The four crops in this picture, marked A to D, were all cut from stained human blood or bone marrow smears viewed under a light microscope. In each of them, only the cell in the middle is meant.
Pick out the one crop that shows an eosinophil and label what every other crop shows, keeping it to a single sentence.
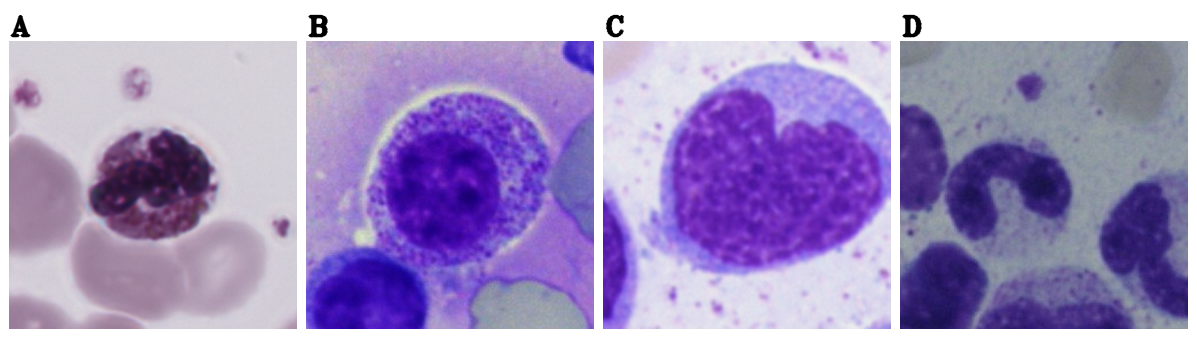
The centred cell in crop A is an eosinophil; meanwhile, crop B is a myelocyte, crop C is a monocyte and crop D is a band neutrophil.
